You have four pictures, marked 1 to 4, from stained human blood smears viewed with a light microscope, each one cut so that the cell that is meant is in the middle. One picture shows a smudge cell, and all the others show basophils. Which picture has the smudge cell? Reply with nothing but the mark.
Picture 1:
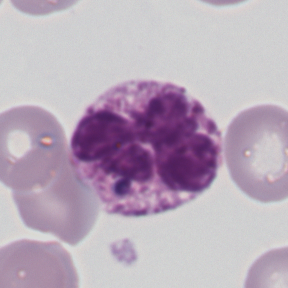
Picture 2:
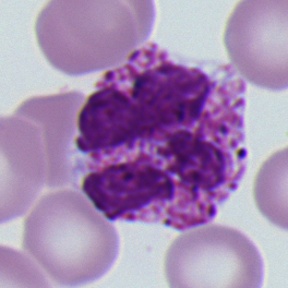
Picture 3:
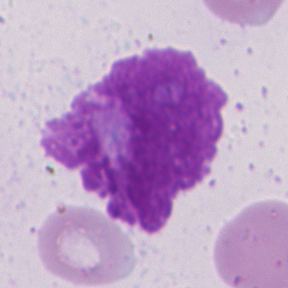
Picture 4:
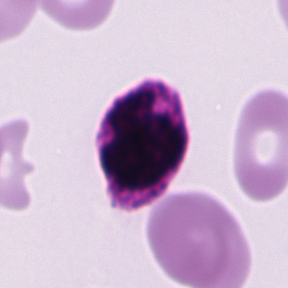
3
